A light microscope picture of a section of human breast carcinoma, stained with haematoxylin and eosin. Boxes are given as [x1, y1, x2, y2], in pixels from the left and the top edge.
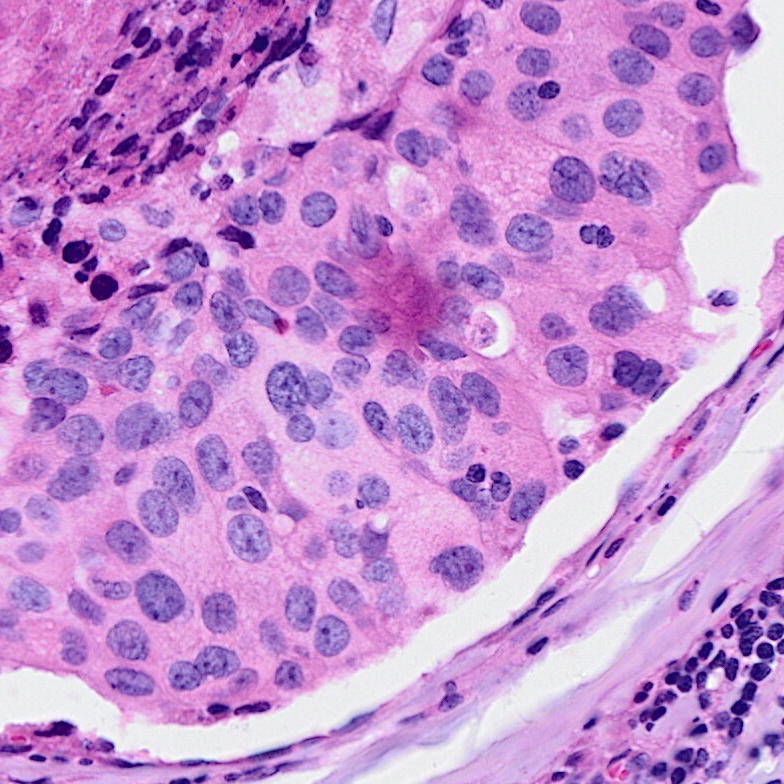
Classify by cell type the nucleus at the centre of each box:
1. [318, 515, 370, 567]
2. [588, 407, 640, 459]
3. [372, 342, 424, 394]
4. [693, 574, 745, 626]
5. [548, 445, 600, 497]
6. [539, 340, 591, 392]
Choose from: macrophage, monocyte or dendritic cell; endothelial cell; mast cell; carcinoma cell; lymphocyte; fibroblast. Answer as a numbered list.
1. carcinoma cell
2. lymphocyte
3. carcinoma cell
4. lymphocyte
5. lymphocyte
6. carcinoma cell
